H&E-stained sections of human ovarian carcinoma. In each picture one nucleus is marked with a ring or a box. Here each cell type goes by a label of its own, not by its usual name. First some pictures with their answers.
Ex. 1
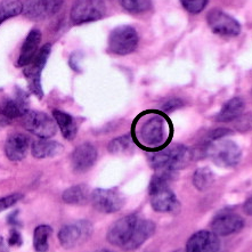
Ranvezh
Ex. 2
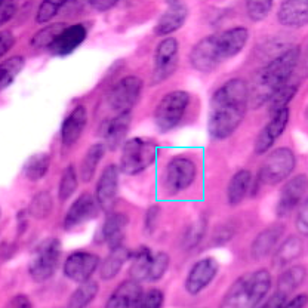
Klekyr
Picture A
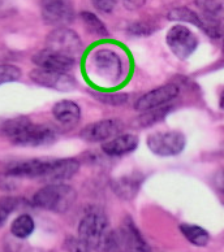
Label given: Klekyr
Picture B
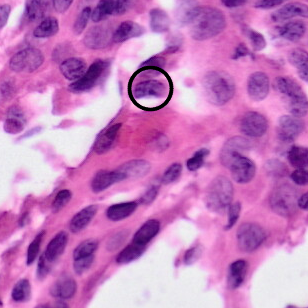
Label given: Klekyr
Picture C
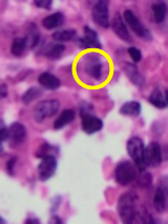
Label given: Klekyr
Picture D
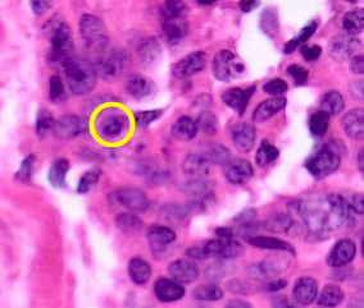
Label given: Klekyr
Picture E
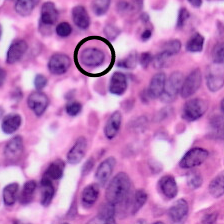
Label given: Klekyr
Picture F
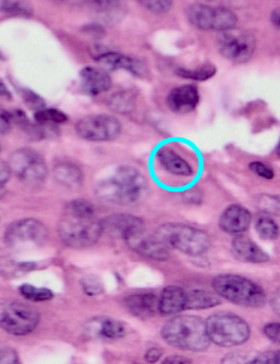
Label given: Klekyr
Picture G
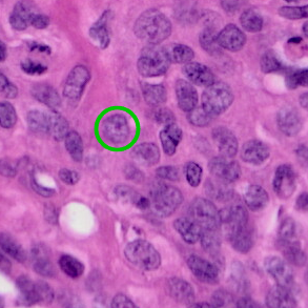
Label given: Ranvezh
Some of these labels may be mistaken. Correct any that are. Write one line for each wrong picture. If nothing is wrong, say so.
Every label is right.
